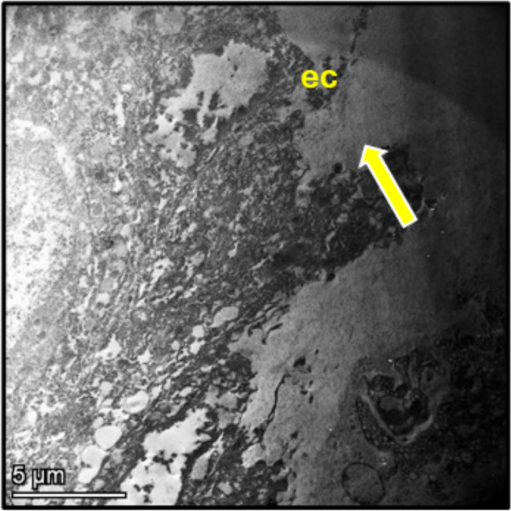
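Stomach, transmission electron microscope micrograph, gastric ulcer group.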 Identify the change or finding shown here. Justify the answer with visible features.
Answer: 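No intact nucleus or recognizable organelles can be made out. The cytoplasm is broken into irregular dark fragments and pale empty spaces. Cell outlines are indistinct and the tissue is disorganized. So: extensive necrosis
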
